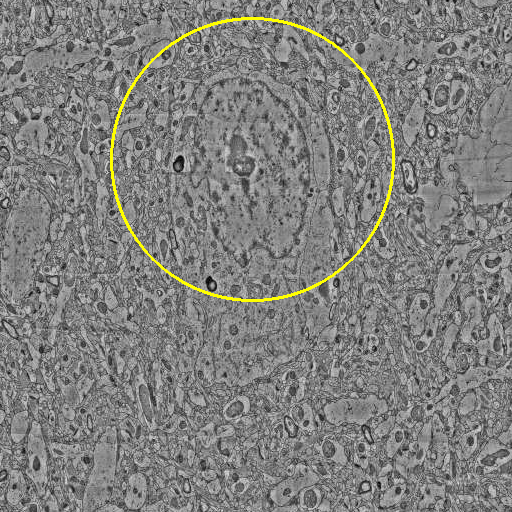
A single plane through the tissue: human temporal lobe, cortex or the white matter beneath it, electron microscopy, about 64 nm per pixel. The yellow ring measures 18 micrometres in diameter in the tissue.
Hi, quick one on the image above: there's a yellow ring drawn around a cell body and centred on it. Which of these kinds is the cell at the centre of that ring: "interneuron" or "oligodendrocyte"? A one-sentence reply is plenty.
The cell at the centre of the ring is an interneuron.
